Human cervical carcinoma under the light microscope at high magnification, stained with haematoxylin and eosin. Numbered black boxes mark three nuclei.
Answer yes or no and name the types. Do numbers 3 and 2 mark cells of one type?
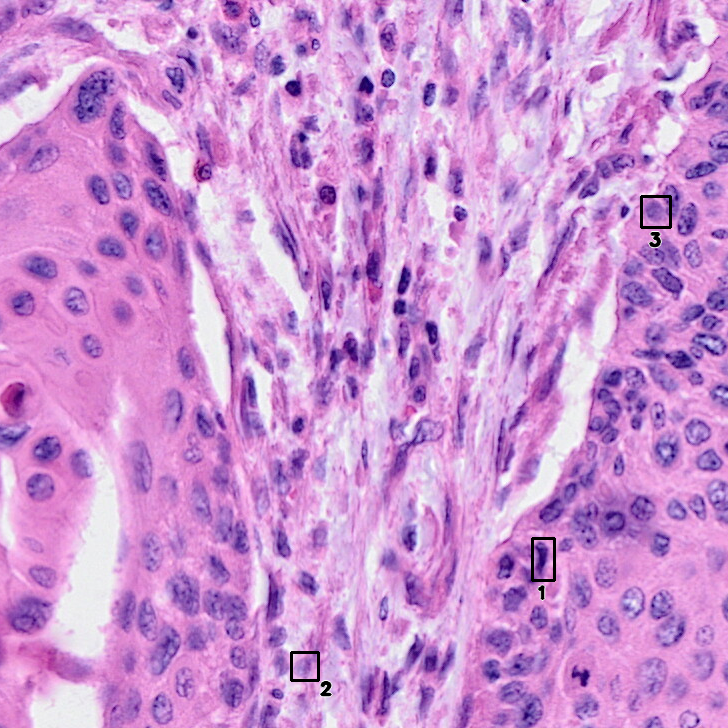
No, cell 3 is a squamous carcinoma cell, whereas cell 2, for its part, is a fibroblast.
